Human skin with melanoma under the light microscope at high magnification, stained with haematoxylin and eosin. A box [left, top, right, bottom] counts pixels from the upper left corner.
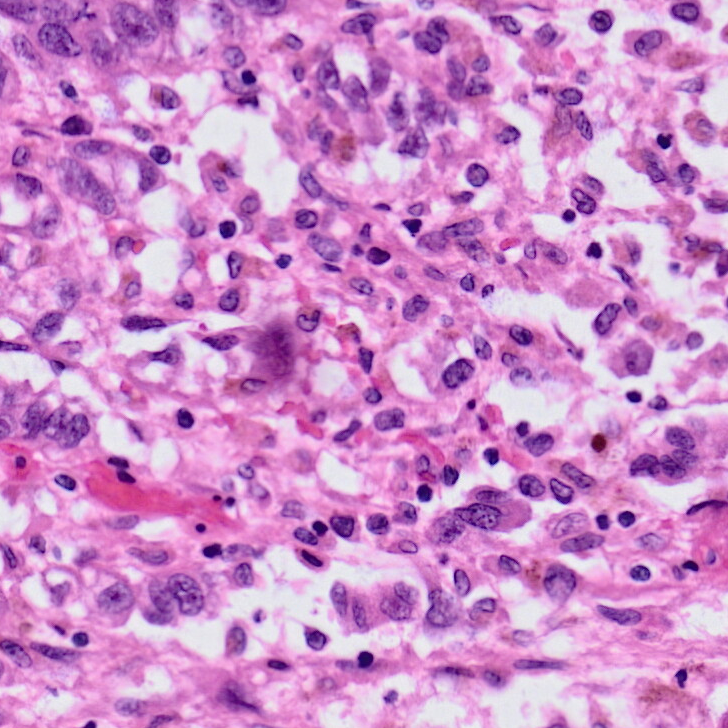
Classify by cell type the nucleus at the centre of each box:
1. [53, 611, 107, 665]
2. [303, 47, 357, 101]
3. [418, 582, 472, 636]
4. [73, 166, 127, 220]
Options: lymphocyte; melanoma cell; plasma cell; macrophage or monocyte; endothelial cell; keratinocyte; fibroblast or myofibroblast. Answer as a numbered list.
1. lymphocyte
2. melanoma cell
3. melanoma cell
4. melanoma cell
